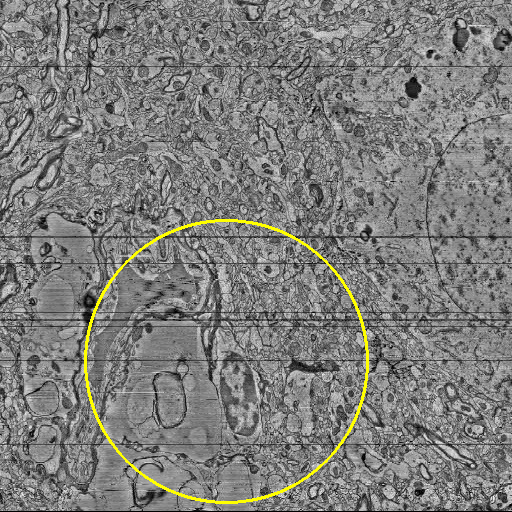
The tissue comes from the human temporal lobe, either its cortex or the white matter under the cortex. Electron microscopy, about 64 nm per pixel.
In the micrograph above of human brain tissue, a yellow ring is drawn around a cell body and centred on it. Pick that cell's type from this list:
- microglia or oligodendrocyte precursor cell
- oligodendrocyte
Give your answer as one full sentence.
Going by the list, a microglial cell or oligodendrocyte precursor cell is the cell on which the yellow ring is centred.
